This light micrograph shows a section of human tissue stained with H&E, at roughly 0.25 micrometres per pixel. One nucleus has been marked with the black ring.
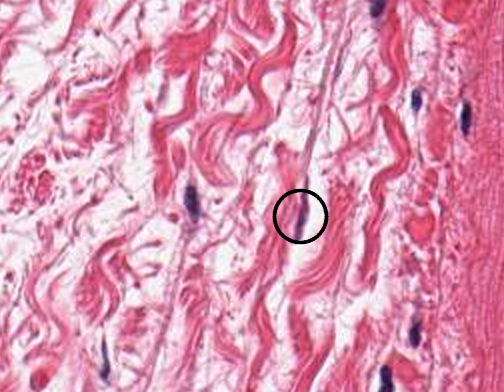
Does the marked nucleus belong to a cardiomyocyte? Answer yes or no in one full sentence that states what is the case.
No, instead of being part of a cardiomyocyte, the marked nucleus is part of a supporting cell.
